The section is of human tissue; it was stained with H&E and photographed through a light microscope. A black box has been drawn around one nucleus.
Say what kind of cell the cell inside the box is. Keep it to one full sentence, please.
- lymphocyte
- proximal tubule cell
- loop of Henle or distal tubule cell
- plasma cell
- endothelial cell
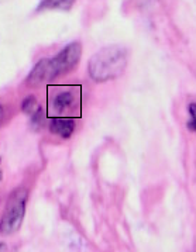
The identity of the cell inside the box is that of an endothelial cell.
